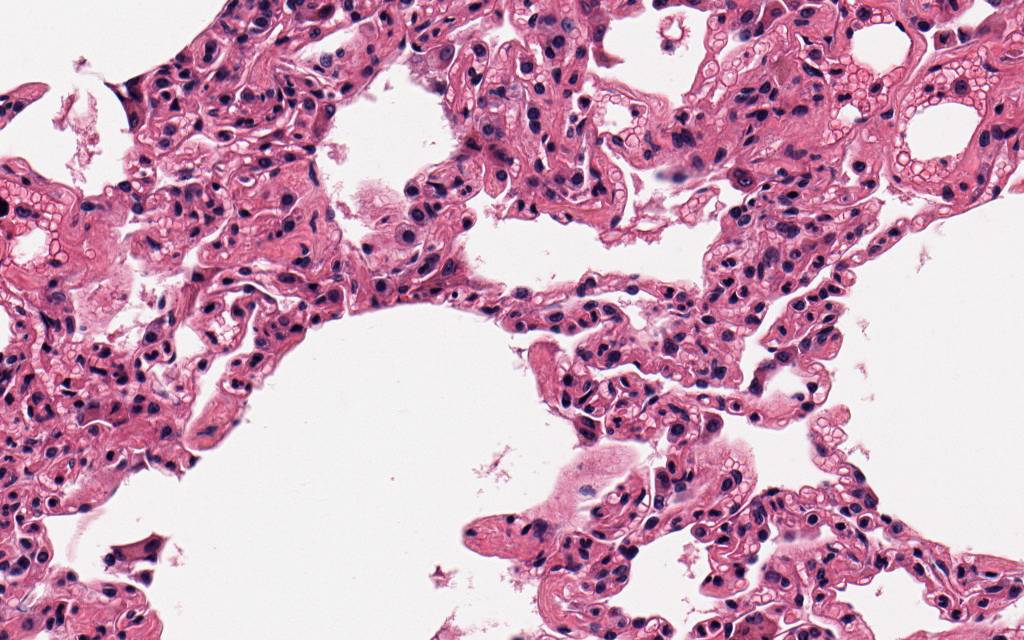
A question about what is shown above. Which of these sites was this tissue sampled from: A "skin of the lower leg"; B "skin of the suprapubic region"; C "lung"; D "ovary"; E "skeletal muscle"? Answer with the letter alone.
C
